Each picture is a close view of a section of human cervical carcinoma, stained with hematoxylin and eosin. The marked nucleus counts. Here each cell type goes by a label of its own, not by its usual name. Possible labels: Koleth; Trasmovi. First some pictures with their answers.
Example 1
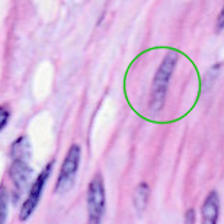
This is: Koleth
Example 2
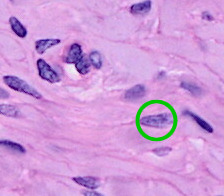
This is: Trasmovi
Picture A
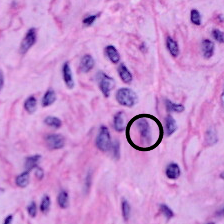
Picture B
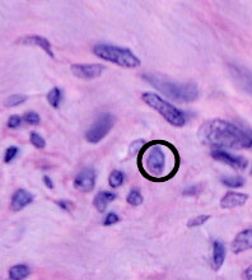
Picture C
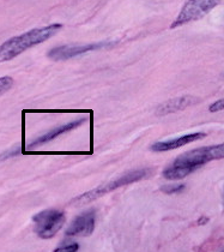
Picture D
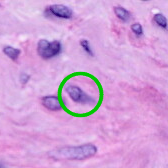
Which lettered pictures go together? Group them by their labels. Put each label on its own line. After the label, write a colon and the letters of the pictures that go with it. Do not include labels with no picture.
Koleth: A, B, D
Trasmovi: C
